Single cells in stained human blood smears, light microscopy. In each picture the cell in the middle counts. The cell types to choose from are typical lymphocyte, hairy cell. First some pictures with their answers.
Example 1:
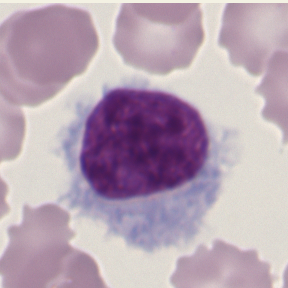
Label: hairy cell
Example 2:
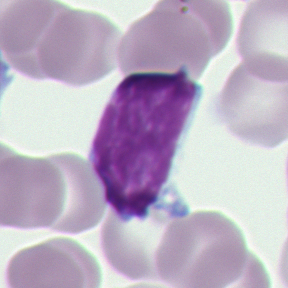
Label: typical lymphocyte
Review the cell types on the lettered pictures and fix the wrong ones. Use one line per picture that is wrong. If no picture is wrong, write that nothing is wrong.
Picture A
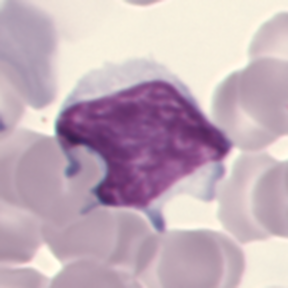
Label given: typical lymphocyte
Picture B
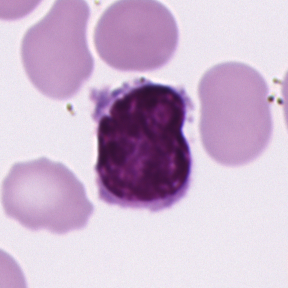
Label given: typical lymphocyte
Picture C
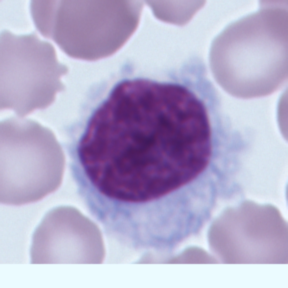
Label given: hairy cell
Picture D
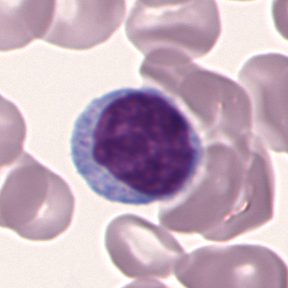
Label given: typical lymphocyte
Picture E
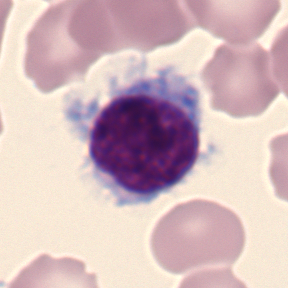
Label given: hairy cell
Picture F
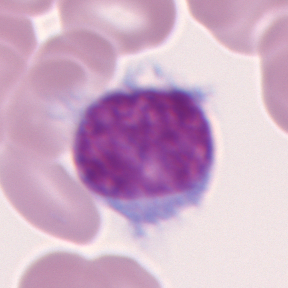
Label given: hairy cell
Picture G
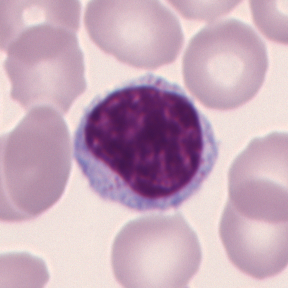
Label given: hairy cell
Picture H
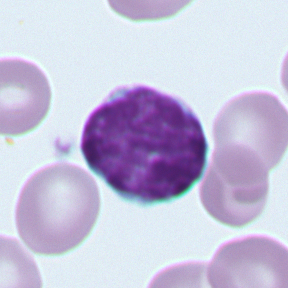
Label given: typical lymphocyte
Wrong: G (hairy cell); correct: typical lymphocyte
